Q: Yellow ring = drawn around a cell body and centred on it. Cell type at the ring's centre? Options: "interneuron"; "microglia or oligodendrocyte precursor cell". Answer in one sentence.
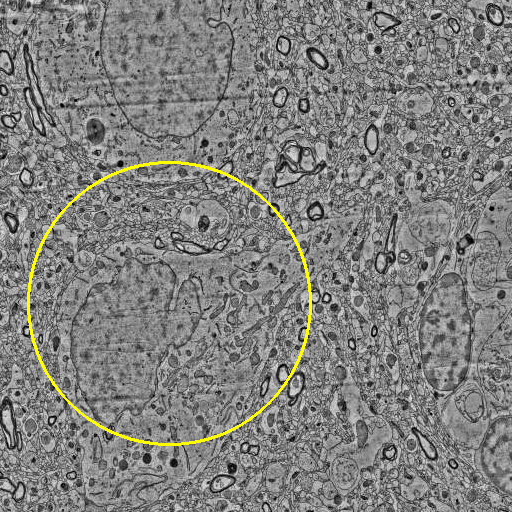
Centred in the ring is an interneuron.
